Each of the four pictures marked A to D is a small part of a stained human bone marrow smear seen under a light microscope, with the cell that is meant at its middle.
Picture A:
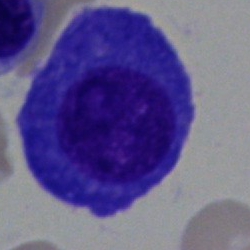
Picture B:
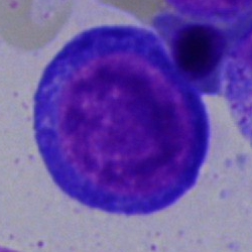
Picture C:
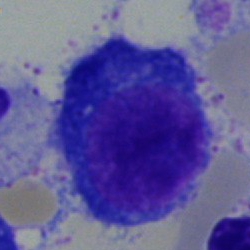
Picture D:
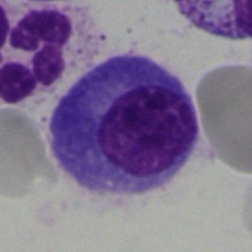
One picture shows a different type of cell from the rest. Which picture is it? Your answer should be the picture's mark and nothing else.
B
